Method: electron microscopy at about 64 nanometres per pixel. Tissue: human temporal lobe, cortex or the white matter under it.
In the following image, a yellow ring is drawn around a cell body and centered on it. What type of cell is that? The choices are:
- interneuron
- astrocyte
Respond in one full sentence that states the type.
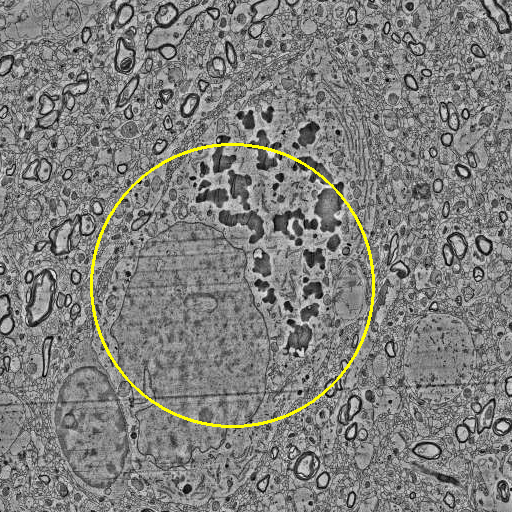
The cell at the center of the yellow ring in the image is an interneuron.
